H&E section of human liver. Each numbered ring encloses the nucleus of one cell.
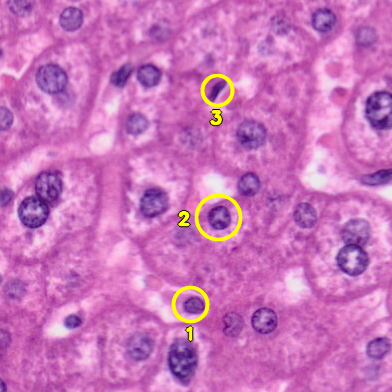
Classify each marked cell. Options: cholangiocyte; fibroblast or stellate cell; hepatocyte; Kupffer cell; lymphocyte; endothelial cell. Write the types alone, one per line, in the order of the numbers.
Kupffer cell
hepatocyte
endothelial cell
